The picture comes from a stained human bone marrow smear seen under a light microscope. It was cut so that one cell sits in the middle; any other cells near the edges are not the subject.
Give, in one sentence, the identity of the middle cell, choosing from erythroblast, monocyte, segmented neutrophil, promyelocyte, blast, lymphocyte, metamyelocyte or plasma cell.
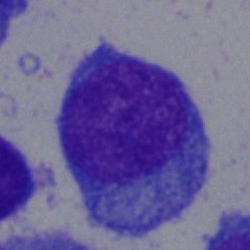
The cell under consideration, at the middle of the crop, is a plasma cell.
